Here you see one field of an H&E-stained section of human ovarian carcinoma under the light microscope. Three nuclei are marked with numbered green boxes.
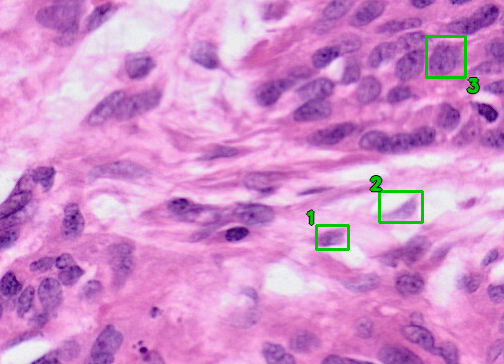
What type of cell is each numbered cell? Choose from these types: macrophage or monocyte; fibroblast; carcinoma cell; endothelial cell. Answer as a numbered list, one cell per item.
1. fibroblast
2. fibroblast
3. carcinoma cell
